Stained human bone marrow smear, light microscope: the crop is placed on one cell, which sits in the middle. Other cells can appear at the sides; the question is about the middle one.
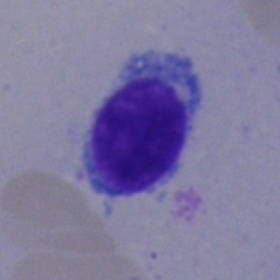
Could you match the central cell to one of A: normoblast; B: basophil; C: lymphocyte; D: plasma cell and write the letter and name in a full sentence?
Option C gets it right: the cell in the middle is a lymphocyte.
